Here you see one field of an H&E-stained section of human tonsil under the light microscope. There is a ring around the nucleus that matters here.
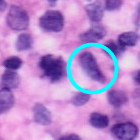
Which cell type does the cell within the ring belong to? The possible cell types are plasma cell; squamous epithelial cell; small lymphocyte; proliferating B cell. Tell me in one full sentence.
The cell type represented by the cell within the ring is that of a proliferating B cell.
